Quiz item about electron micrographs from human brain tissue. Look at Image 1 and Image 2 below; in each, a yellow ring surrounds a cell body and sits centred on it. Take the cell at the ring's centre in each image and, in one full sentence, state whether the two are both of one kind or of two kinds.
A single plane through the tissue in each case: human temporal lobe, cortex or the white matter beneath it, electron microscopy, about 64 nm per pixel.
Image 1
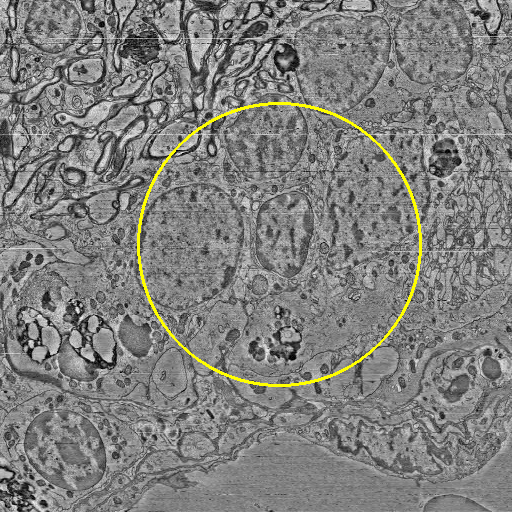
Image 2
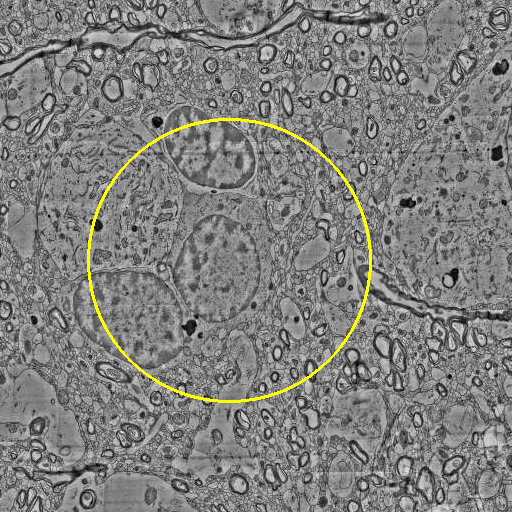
In Image 1 and Image 2, the cells at the ring centres are of two kinds.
